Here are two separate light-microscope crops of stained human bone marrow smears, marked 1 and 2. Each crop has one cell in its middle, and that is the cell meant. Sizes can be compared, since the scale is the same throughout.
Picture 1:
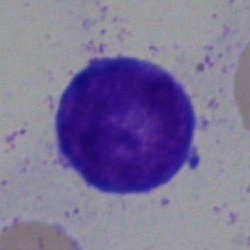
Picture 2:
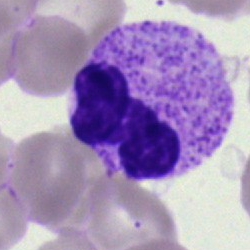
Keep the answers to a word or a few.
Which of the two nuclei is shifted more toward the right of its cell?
1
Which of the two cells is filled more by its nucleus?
1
